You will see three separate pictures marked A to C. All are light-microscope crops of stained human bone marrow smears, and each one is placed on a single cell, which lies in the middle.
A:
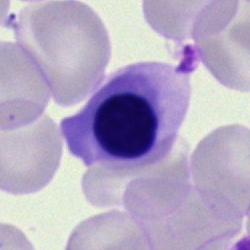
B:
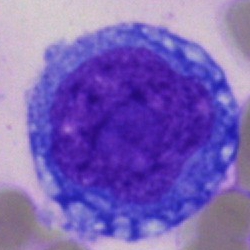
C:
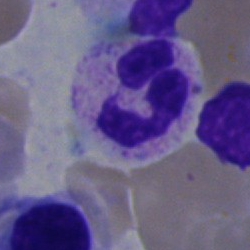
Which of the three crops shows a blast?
B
